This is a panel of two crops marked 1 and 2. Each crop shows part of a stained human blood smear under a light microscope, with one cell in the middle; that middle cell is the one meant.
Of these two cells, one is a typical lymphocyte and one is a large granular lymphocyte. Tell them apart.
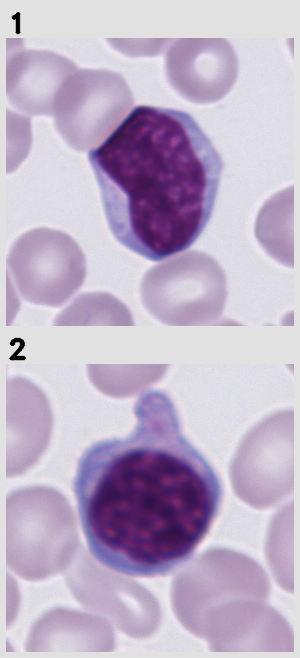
1: large granular lymphocyte
2: typical lymphocyte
